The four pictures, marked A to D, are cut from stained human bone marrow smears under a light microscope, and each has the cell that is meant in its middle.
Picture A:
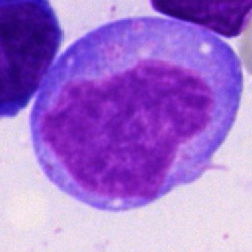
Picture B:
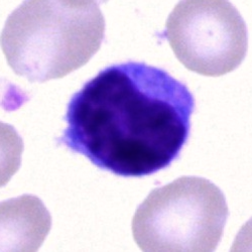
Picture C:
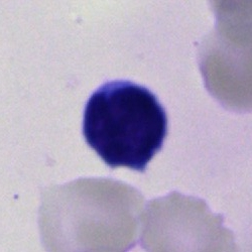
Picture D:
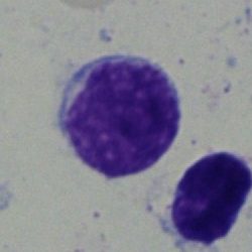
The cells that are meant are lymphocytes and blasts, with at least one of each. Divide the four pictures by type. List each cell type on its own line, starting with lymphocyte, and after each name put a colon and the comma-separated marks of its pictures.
lymphocyte: B, C, D
blast: A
